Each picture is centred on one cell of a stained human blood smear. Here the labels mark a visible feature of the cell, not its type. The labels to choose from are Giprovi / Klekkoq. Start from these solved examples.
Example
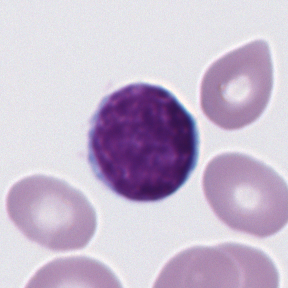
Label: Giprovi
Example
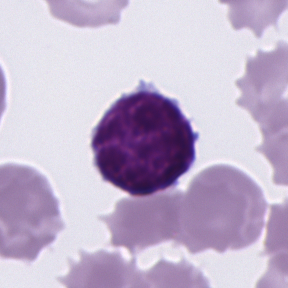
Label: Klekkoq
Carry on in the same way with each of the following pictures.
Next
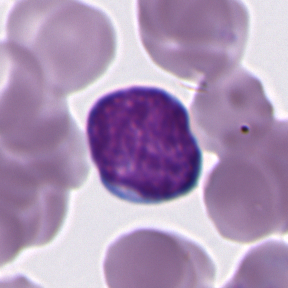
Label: Giprovi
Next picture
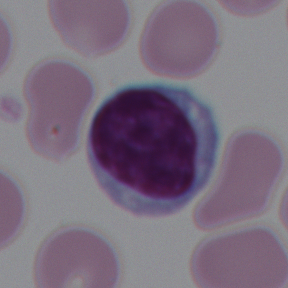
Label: Giprovi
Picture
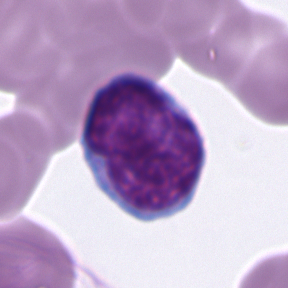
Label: Giprovi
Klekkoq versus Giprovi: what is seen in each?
Klekkoq: ragged outline or projections; Giprovi: smooth outline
